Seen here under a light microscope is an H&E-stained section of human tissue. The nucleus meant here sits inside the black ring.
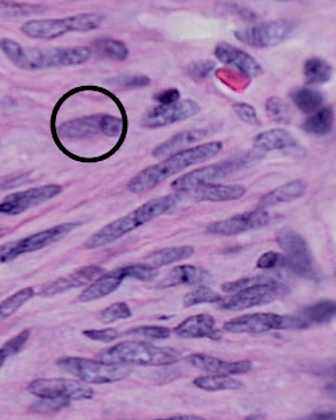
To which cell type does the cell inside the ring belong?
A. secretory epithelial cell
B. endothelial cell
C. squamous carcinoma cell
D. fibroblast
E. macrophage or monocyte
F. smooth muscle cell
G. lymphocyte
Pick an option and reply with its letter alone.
F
